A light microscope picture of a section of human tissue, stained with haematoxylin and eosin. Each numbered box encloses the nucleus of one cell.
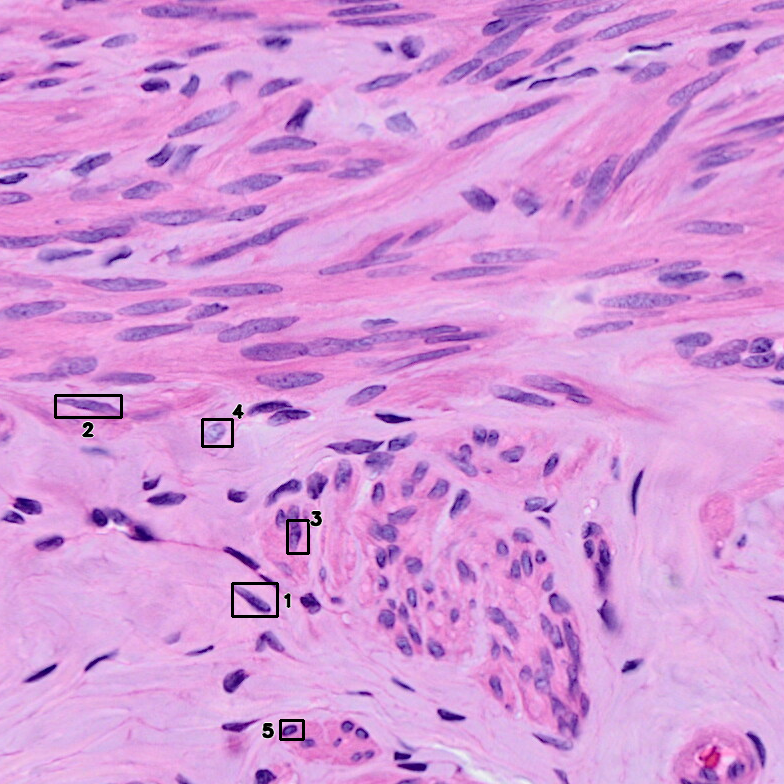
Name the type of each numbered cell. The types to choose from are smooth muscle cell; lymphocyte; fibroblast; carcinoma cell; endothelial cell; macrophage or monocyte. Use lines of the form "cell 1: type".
cell 1: fibroblast
cell 2: smooth muscle cell
cell 3: smooth muscle cell
cell 4: fibroblast
cell 5: smooth muscle cell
